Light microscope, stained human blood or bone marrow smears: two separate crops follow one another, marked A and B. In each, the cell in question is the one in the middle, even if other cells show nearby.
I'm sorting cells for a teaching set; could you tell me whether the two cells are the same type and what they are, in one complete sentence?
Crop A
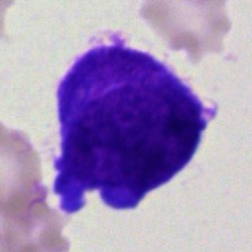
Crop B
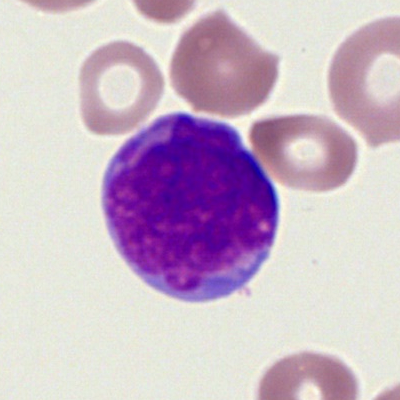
Yes, both the first crop and the second crop show blasts.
